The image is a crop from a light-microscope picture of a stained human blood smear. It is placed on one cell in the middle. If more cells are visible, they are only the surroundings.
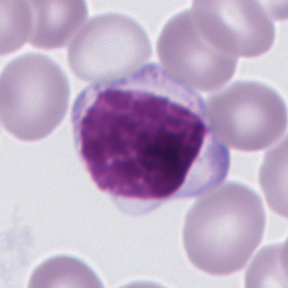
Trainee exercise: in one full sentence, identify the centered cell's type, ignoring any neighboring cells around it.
The crop centres on a single cell, and that cell is a large granular lymphocyte.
